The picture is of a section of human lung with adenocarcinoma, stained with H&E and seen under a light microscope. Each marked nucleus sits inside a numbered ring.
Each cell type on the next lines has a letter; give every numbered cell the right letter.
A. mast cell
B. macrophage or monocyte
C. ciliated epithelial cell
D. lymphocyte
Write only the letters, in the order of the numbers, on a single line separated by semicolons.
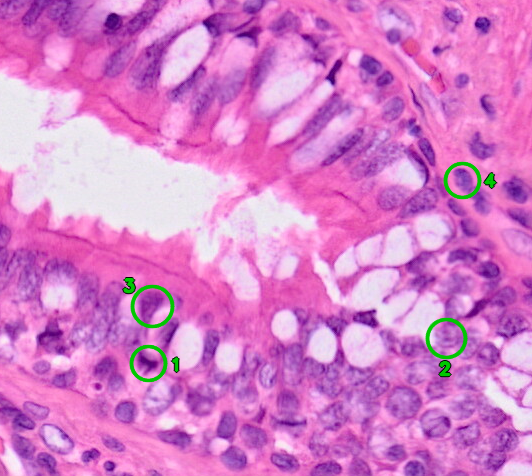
C; C; C; A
